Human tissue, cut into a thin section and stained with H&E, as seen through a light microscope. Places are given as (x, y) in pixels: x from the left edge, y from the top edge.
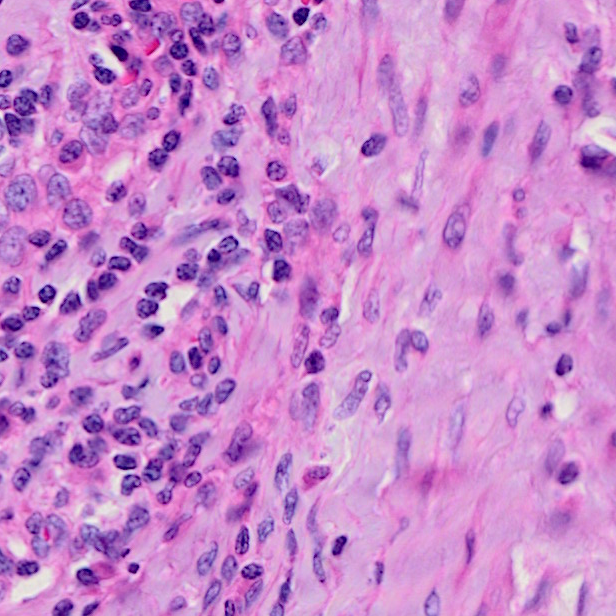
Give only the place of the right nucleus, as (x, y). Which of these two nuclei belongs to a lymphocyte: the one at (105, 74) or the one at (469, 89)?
(105, 74)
